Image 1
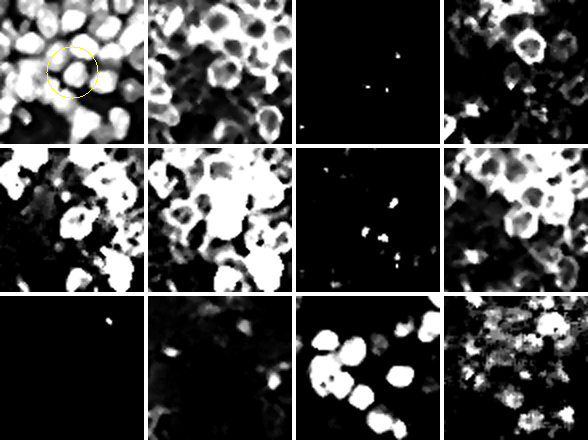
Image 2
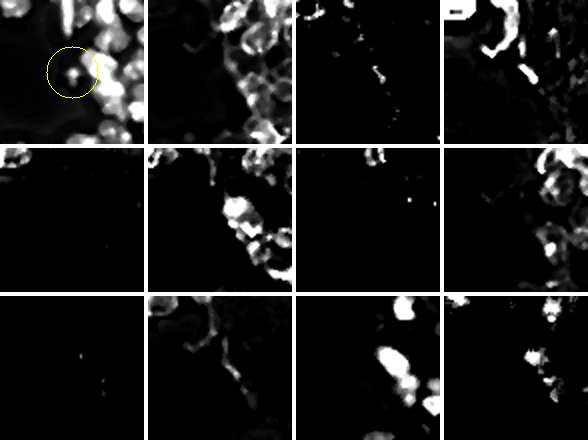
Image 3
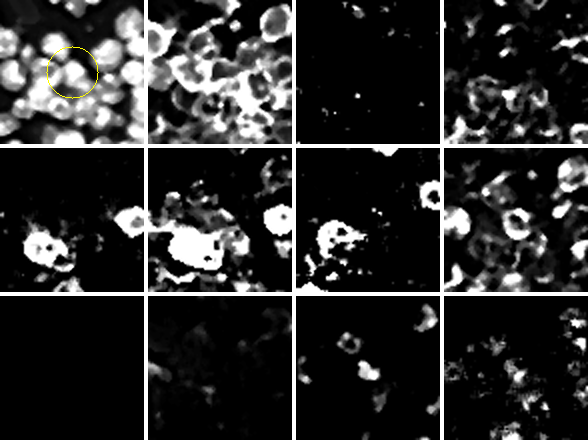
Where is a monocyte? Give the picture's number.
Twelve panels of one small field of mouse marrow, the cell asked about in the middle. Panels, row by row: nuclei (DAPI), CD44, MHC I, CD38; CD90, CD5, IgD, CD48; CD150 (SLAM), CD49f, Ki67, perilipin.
3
